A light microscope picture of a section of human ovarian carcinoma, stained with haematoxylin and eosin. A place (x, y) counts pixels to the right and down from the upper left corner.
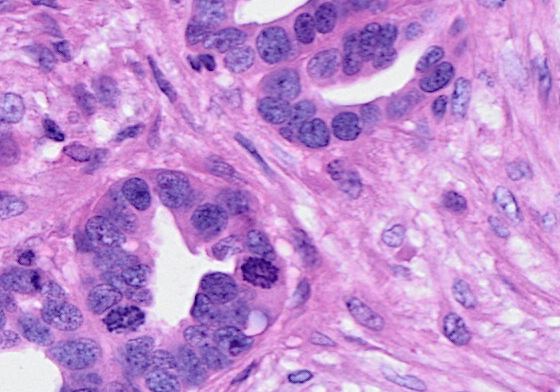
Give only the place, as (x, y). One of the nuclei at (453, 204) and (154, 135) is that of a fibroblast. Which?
(154, 135)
